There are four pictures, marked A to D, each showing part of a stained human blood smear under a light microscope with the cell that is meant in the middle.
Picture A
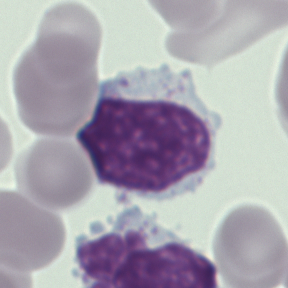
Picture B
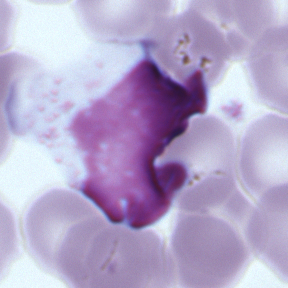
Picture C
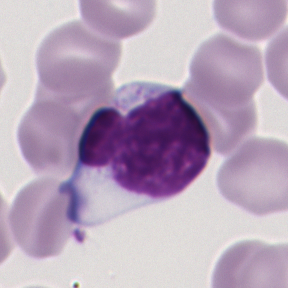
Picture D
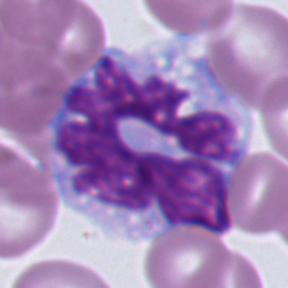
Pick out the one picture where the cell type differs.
D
